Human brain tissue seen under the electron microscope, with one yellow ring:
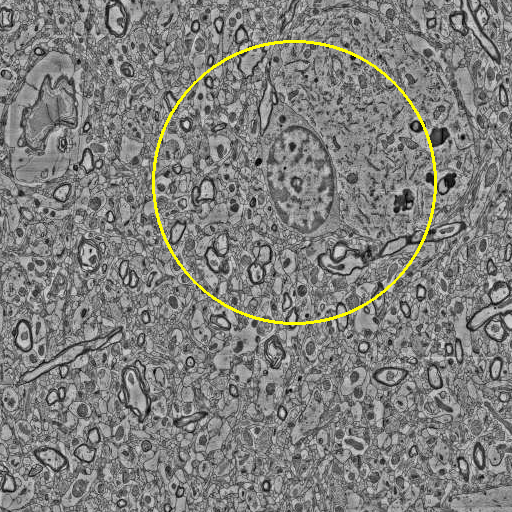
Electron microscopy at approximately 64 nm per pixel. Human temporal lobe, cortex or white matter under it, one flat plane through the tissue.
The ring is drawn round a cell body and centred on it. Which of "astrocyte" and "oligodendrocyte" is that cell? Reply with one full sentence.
The picture shows an oligodendrocyte at the very centre of the yellow ring.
